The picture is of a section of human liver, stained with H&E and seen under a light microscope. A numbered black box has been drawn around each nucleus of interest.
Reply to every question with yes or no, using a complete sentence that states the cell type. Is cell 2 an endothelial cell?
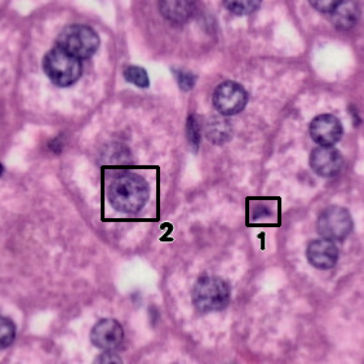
No, number 2 is not an endothelial cell; it is a hepatocyte.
